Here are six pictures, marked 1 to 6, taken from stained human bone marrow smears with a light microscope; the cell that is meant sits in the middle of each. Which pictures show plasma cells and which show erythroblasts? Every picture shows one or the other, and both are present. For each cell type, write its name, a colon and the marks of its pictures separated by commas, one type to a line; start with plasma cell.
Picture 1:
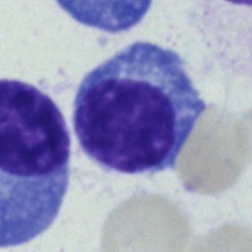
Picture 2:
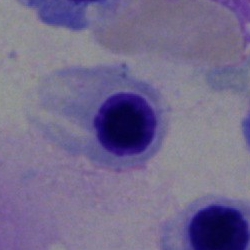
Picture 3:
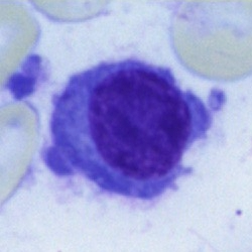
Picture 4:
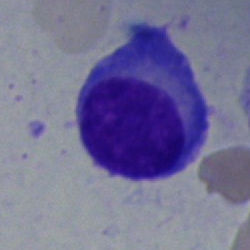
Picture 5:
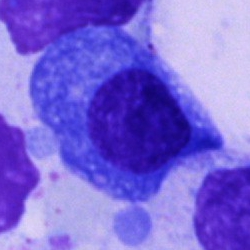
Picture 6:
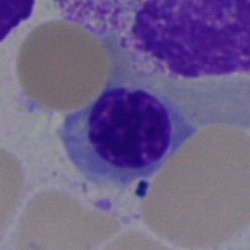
plasma cell: 1, 3, 4, 5
erythroblast: 2, 6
